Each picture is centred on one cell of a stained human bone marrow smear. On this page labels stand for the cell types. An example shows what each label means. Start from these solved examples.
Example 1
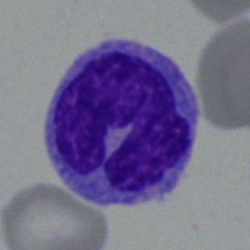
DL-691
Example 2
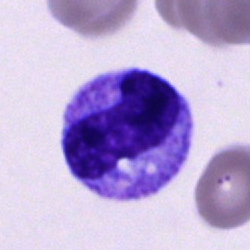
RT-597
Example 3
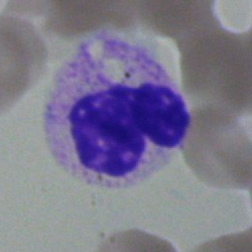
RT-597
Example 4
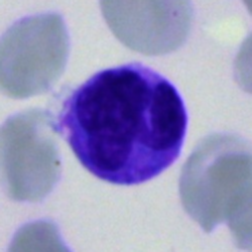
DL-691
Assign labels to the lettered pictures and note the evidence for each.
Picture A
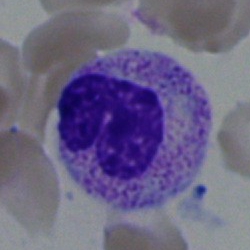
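Answer: RT-597. The cytoplasm forms a wide rim that is broadest on the right side.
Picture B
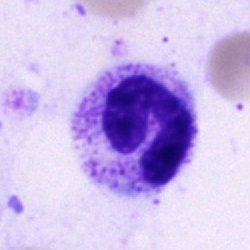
Answer: RT-597. The cytoplasm holds many small pinkish-purple granules.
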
